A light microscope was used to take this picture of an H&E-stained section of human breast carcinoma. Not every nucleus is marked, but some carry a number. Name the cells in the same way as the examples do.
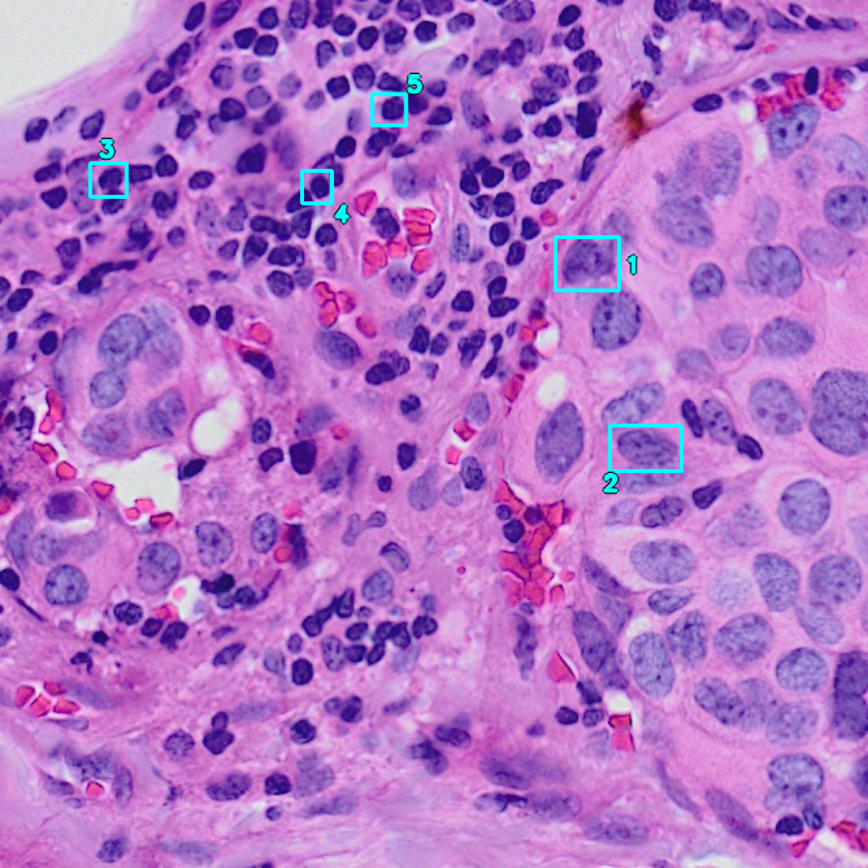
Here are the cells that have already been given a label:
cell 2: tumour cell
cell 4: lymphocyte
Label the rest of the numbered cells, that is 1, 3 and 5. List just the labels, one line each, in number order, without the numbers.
tumour cell
lymphocyte
lymphocyte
